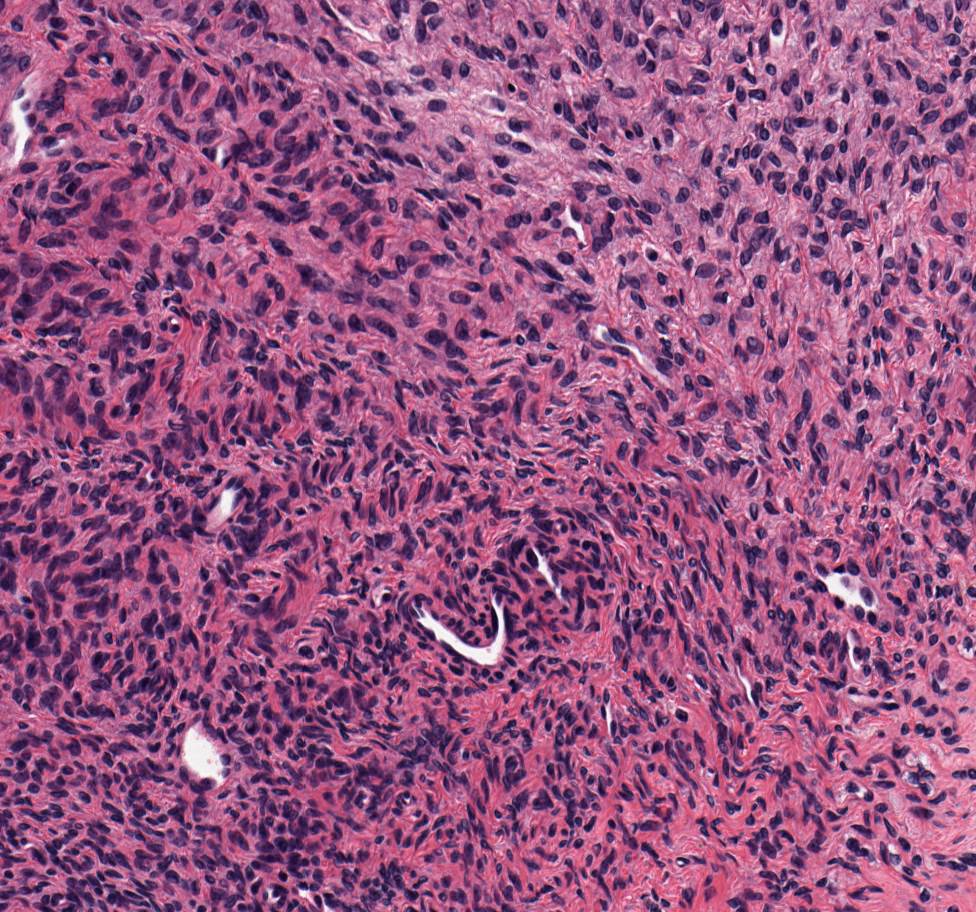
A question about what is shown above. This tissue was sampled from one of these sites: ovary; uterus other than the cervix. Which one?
ovary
